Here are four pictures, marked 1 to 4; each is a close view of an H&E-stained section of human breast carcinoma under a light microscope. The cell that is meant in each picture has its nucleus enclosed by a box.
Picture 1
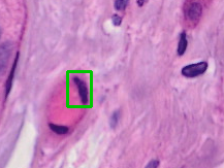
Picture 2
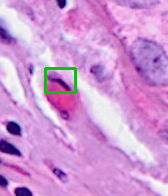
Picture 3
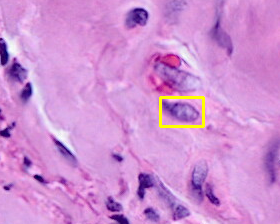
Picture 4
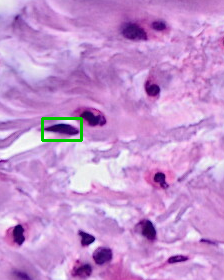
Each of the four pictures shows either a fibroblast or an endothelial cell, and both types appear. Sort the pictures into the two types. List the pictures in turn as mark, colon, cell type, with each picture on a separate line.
1: endothelial cell
2: endothelial cell
3: endothelial cell
4: fibroblast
